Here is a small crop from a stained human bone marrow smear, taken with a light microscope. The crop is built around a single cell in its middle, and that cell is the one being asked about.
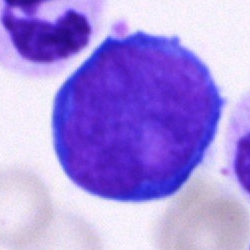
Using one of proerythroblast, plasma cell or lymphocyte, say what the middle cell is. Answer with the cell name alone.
proerythroblast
